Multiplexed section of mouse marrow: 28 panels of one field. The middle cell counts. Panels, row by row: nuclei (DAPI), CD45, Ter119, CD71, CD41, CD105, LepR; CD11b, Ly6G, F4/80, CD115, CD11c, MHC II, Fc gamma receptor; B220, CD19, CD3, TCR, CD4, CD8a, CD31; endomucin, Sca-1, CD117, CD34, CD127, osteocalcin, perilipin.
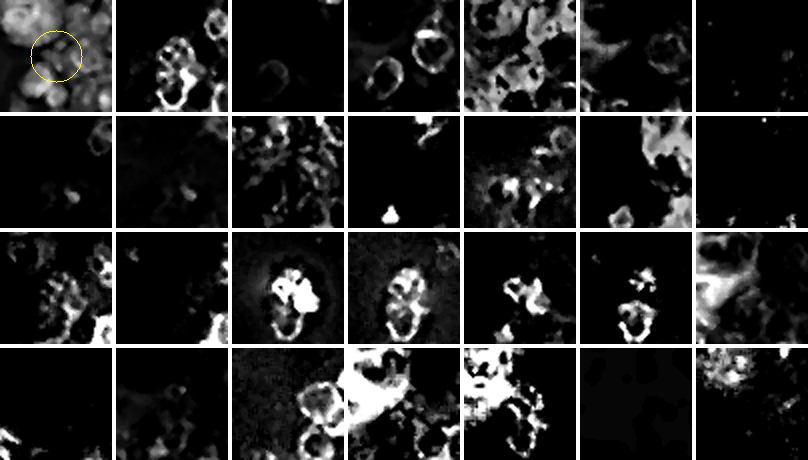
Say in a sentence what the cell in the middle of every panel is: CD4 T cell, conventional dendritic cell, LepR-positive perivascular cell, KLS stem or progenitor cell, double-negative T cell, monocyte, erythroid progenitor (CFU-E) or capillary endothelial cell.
This is a CD4 T cell.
